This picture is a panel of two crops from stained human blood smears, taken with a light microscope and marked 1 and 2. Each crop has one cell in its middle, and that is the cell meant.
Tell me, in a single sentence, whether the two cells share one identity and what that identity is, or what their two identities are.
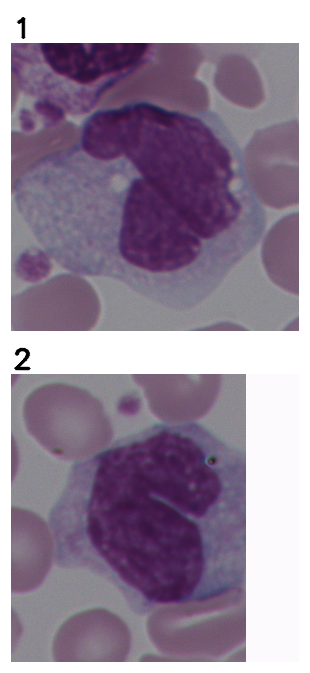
Yes, both crops alike show monocytes at the centre.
